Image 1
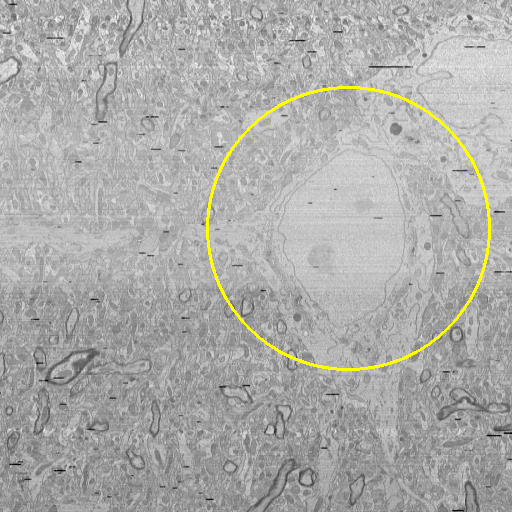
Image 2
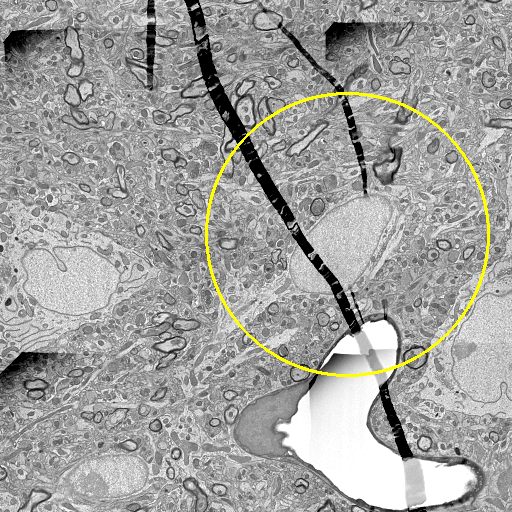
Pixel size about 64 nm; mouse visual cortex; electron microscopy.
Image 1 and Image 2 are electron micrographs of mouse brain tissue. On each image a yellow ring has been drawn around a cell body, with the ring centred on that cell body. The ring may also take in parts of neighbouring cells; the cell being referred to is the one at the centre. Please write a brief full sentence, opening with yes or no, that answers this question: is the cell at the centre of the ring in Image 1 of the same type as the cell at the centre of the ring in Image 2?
No, the two cells are of two types.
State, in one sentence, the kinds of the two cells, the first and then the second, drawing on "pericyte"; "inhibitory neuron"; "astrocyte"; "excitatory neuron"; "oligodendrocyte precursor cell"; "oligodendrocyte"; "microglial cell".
The ring in the second picture is centred on an astrocyte, the ring in the first on an excitatory neuron.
